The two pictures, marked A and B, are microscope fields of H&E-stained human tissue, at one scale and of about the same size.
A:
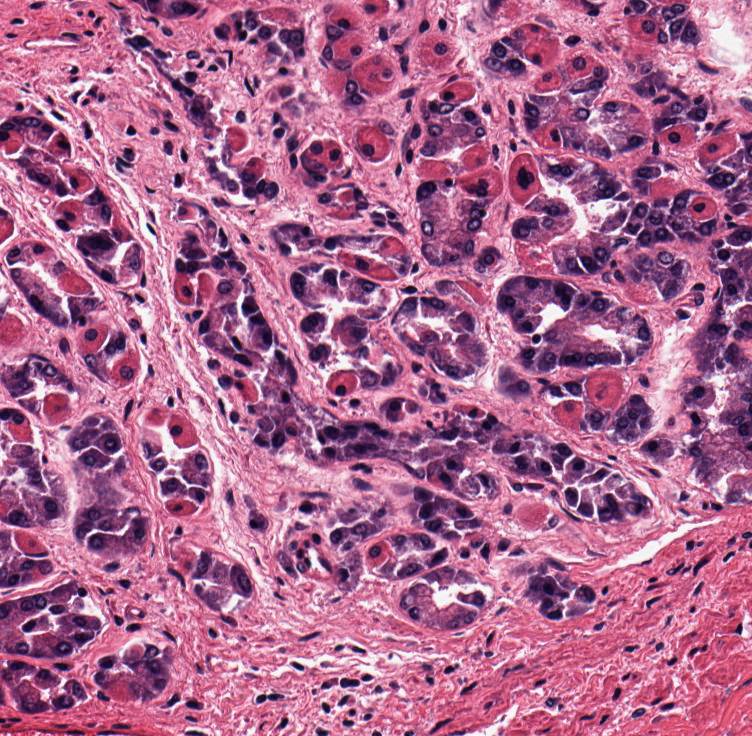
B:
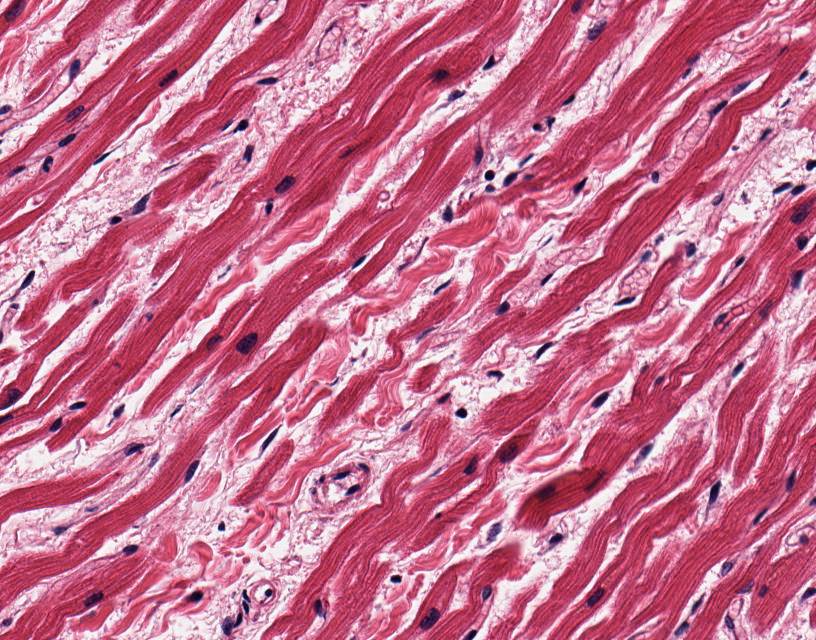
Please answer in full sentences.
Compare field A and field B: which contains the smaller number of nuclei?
Fewer nuclei lie in field B than in field A.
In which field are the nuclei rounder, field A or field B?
The nuclei are rounder in field A.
